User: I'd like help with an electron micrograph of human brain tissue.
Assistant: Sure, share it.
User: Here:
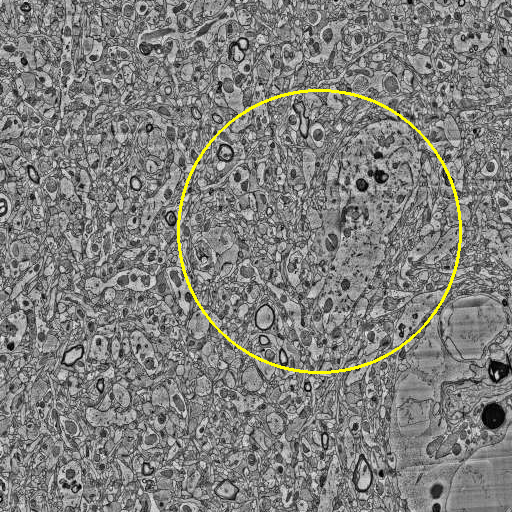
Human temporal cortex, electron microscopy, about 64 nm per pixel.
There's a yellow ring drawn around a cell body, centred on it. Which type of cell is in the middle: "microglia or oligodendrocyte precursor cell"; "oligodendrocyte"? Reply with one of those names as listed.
oligodendrocyte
